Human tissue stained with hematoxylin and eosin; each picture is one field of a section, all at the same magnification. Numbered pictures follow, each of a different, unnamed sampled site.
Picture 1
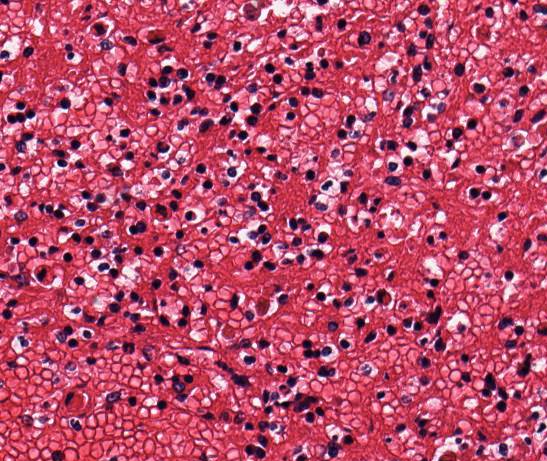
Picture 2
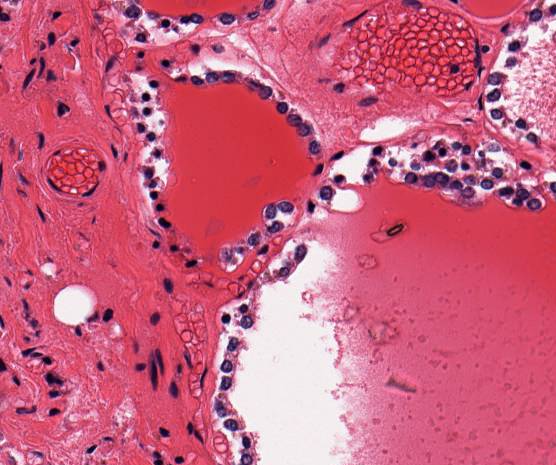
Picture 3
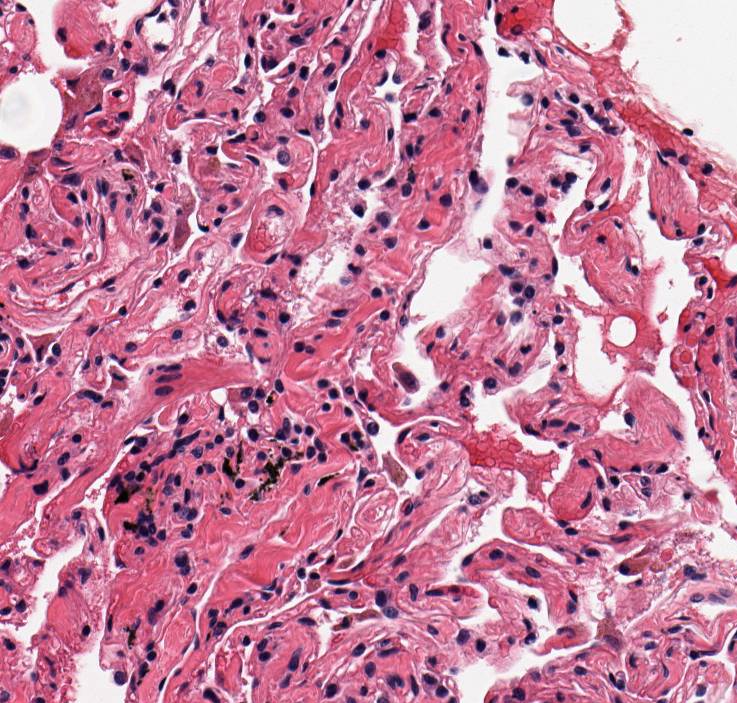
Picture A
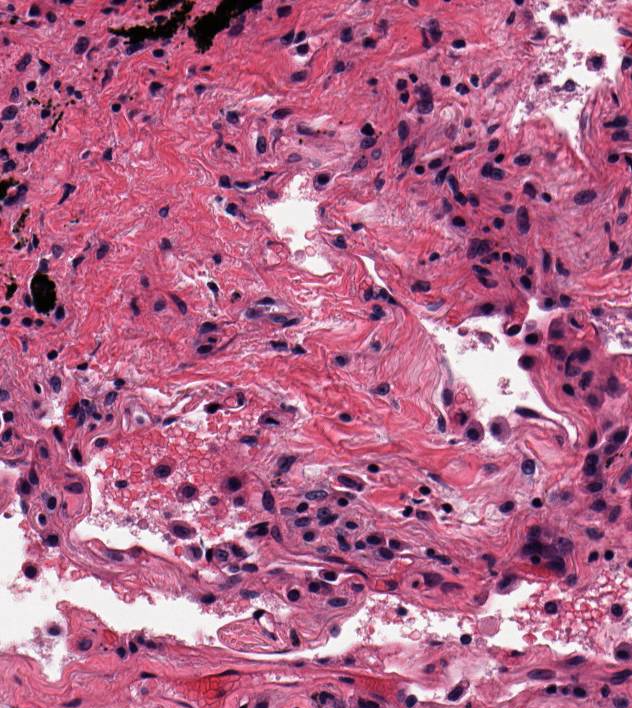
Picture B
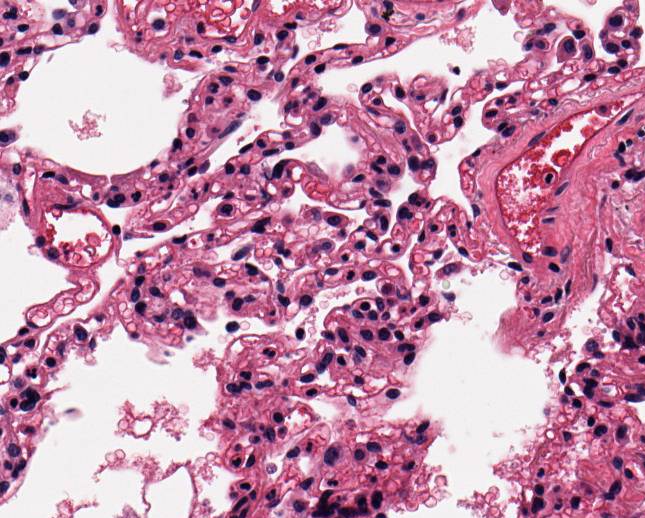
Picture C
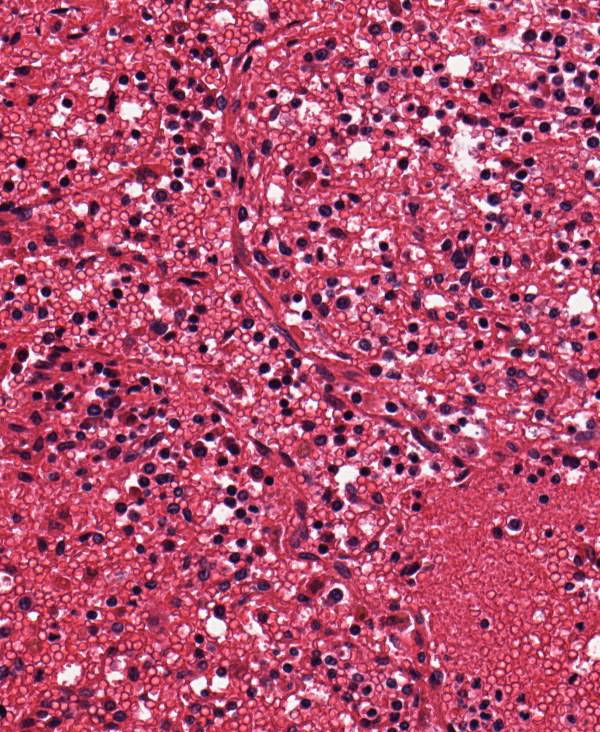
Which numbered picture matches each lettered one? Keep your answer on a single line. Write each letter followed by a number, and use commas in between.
A 3, B 3, C 1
